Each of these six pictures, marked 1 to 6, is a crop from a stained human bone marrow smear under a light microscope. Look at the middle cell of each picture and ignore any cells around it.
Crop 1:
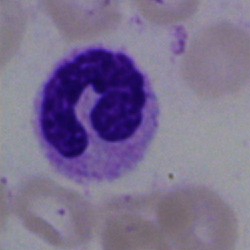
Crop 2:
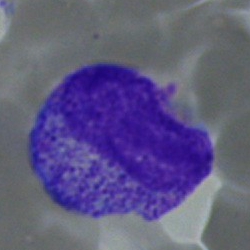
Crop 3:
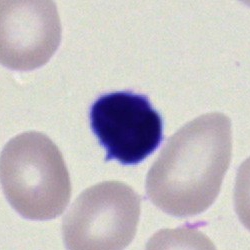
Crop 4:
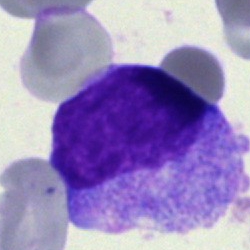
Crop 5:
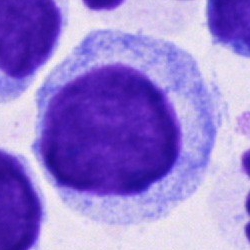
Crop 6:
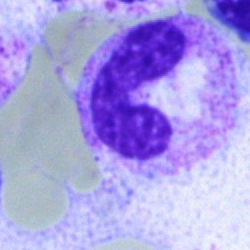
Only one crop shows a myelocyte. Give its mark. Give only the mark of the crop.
2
